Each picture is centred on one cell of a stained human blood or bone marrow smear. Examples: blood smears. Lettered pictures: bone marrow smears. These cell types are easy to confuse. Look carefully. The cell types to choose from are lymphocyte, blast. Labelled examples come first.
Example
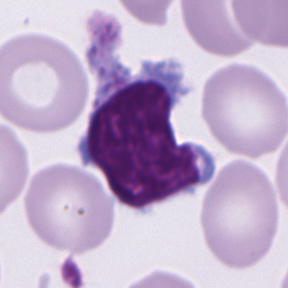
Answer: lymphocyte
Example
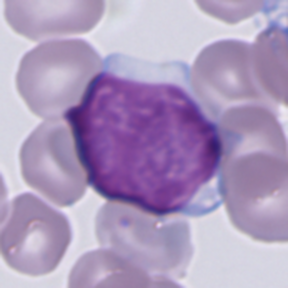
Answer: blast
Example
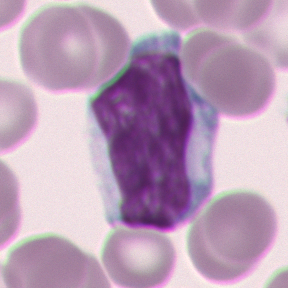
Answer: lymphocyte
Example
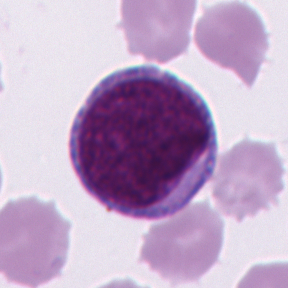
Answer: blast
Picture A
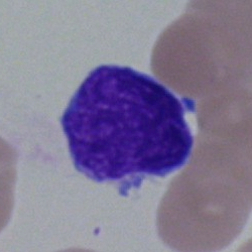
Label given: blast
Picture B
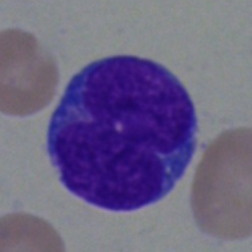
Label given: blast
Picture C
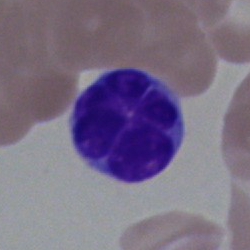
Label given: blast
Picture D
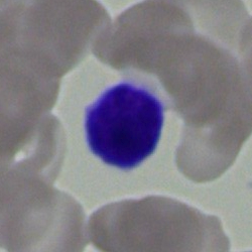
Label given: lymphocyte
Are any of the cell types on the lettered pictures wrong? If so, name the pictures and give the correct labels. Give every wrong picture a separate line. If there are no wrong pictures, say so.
C: lymphocyte, not blast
